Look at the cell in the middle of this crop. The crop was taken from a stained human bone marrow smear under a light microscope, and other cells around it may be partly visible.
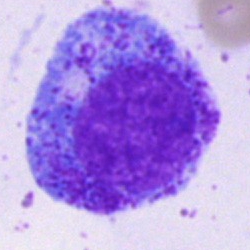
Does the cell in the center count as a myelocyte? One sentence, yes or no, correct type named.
No, this is not a myelocyte at all; the cell in the middle is a promyelocyte.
